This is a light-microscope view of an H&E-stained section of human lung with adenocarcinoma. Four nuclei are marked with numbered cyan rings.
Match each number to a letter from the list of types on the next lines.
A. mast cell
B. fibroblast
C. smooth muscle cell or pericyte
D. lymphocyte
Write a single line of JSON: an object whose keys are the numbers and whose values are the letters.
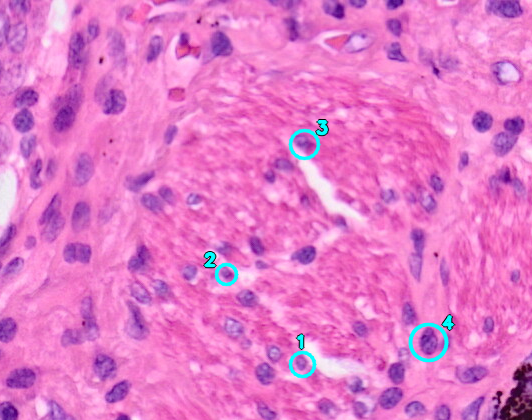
{"1": "C", "2": "C", "3": "C", "4": "A"}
